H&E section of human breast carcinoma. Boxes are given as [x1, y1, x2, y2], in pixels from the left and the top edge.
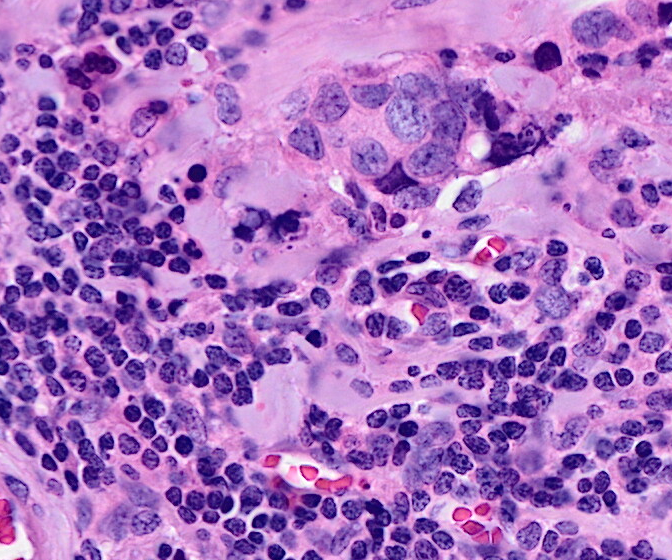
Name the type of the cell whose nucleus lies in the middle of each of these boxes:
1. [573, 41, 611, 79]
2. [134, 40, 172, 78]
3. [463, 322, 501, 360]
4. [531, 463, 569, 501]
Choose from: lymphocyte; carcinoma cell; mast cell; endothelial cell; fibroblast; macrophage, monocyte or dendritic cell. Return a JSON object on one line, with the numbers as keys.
{"1": "carcinoma cell", "2": "lymphocyte", "3": "lymphocyte", "4": "lymphocyte"}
